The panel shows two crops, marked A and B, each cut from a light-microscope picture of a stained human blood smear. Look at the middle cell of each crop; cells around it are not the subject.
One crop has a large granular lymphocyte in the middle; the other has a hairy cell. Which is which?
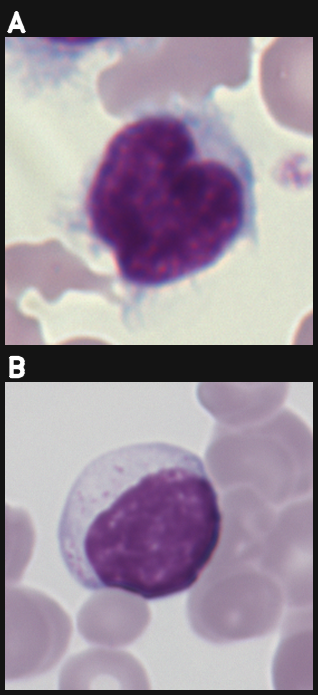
A: hairy cell
B: large granular lymphocyte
